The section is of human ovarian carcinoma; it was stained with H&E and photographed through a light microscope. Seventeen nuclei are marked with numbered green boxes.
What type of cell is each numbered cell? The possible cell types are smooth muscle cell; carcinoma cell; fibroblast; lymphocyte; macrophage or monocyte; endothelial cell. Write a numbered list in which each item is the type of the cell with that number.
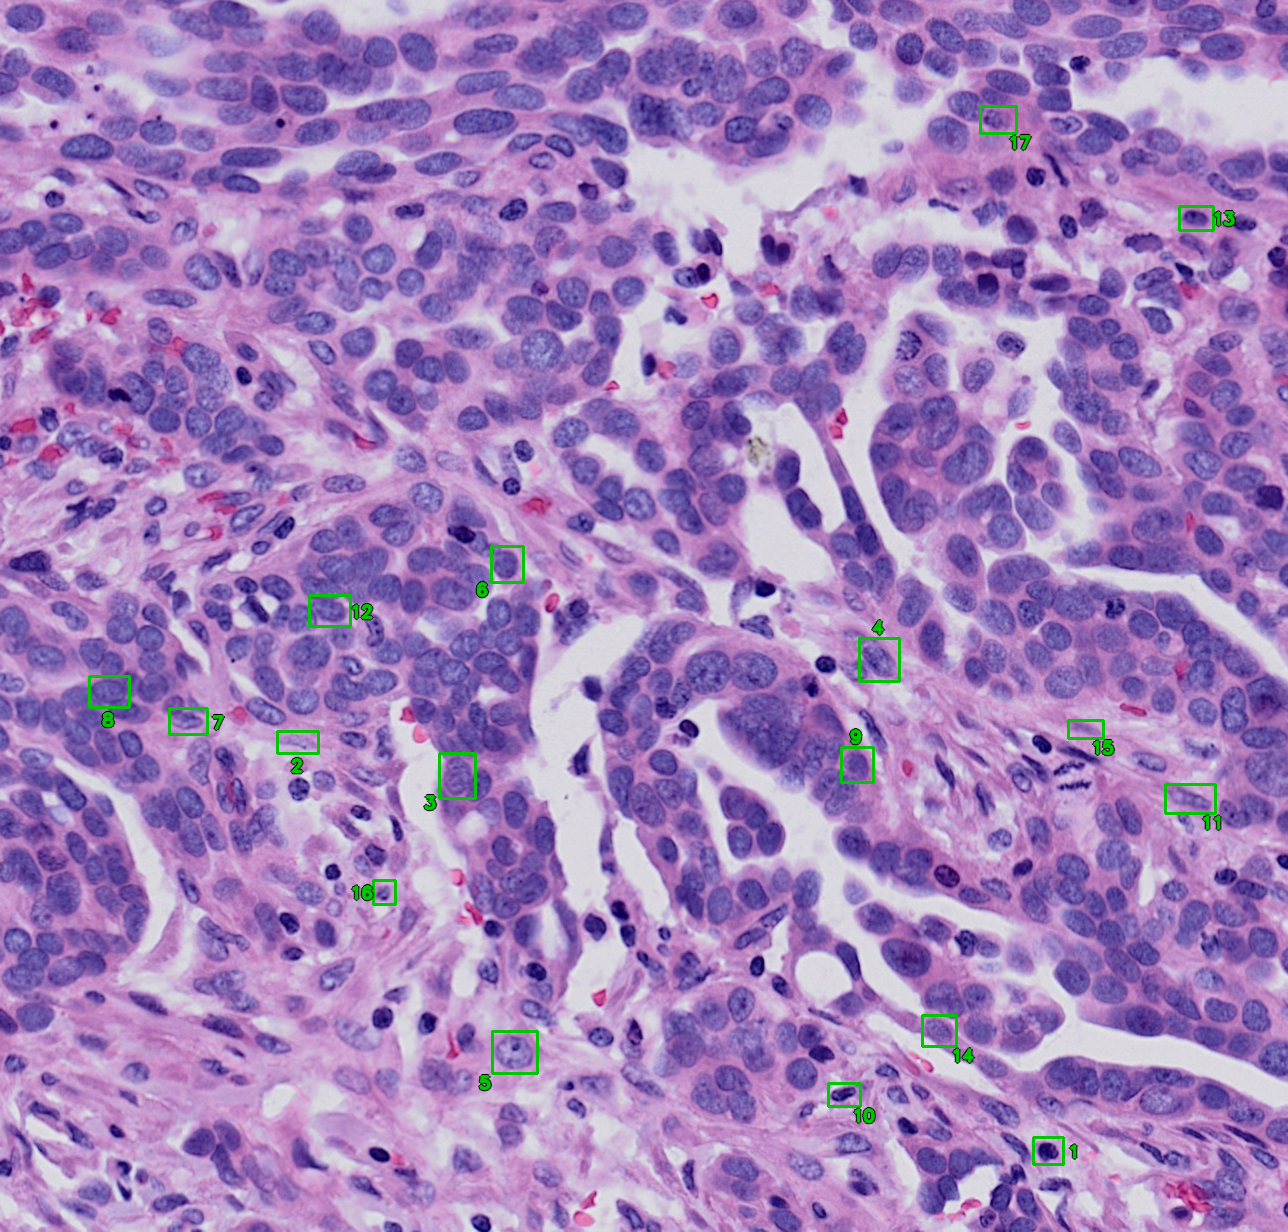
1. lymphocyte
2. fibroblast
3. carcinoma cell
4. fibroblast
5. fibroblast
6. carcinoma cell
7. fibroblast
8. carcinoma cell
9. carcinoma cell
10. lymphocyte
11. fibroblast
12. carcinoma cell
13. lymphocyte
14. carcinoma cell
15. fibroblast
16. lymphocyte
17. macrophage or monocyte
